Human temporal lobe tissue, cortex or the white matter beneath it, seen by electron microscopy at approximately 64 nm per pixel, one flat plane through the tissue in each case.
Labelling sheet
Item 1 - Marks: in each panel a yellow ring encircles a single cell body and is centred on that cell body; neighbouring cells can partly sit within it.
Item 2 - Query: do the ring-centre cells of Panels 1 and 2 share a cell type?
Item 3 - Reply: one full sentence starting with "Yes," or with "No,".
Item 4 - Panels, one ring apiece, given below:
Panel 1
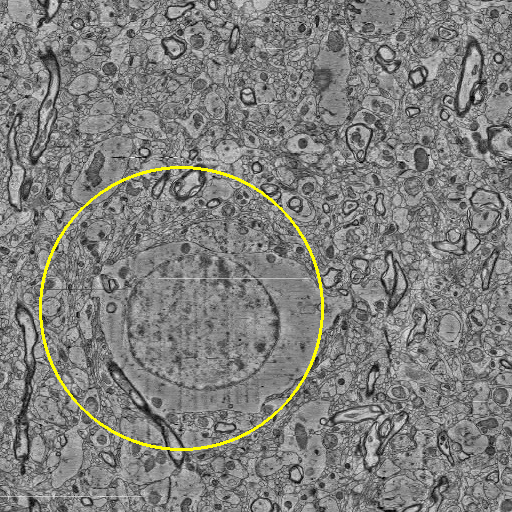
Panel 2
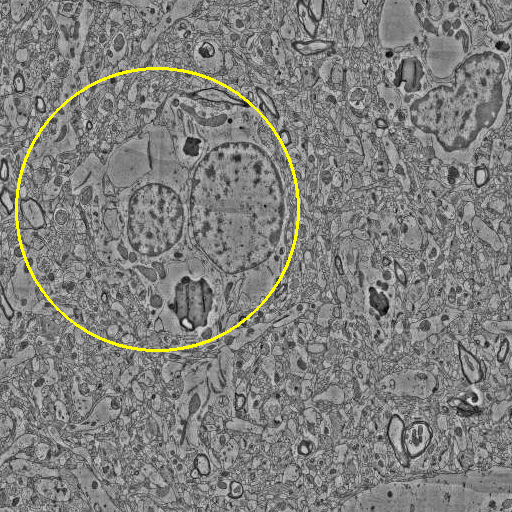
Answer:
Yes, Panel 1 and Panel 2 show one cell type at the centres of their rings.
